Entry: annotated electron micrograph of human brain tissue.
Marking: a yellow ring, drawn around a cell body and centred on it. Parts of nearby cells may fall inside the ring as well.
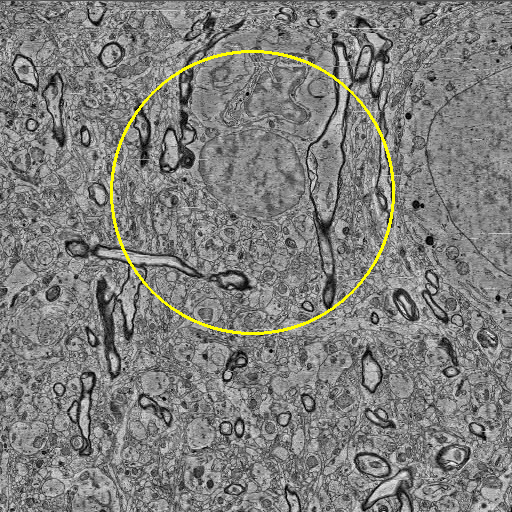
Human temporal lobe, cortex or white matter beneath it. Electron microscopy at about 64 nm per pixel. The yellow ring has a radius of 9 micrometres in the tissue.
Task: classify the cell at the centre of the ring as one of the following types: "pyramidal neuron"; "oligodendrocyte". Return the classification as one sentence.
The marked cell is classified as an oligodendrocyte.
